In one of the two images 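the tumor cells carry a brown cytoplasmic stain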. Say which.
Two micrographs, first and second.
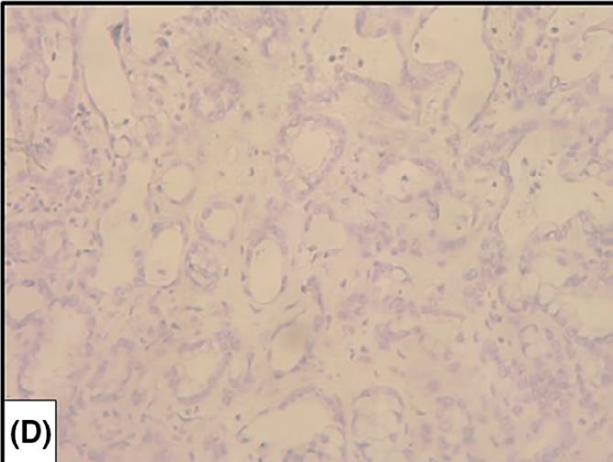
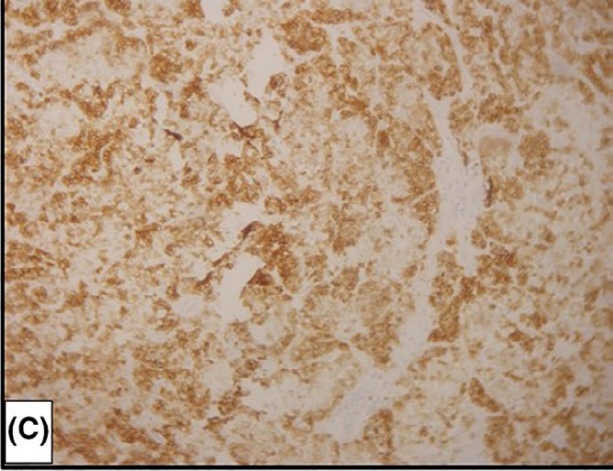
the second image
